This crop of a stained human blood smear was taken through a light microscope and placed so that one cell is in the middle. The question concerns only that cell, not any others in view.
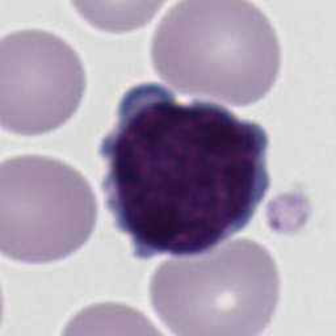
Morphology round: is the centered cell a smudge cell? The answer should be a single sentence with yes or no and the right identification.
No, mark the middle cell as a typical lymphocyte, not a smudge cell.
